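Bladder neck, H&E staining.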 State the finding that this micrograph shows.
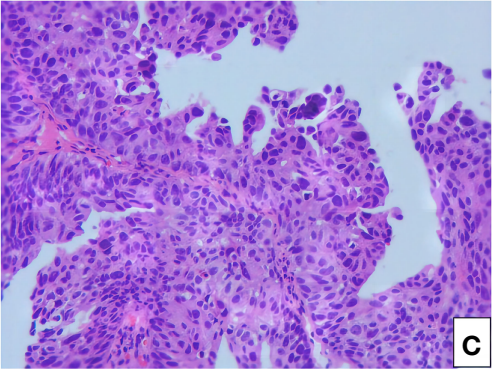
High-grade urothelial carcinoma.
